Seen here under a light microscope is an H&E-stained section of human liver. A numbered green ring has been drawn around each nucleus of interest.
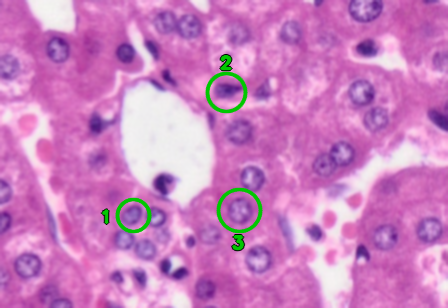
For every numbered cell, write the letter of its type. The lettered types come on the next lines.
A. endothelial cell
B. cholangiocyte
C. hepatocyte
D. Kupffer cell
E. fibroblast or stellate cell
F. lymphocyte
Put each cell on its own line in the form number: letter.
1: B
2: E
3: C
